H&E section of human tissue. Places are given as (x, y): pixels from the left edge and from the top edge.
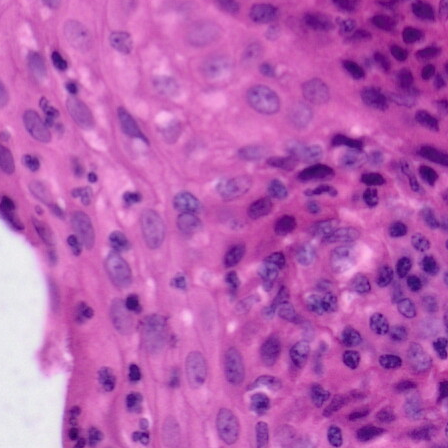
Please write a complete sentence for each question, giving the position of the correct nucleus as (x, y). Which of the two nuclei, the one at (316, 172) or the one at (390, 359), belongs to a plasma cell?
The nucleus at (390, 359), rather than the other one, belongs to a plasma cell.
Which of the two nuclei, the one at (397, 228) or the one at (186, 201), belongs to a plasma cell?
Identified as belonging to a plasma cell is the nucleus at (397, 228).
